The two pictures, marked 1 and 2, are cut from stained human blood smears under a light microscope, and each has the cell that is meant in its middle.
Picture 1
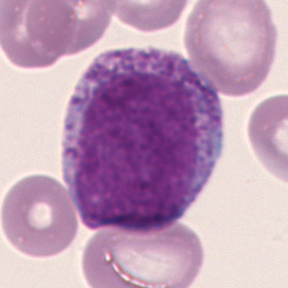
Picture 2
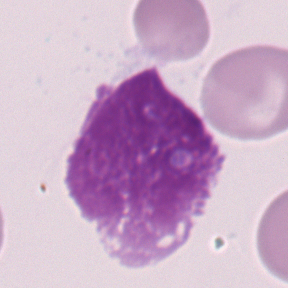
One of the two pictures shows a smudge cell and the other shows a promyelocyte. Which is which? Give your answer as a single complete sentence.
Picture 2 shows a smudge cell, while picture 1 shows a promyelocyte.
